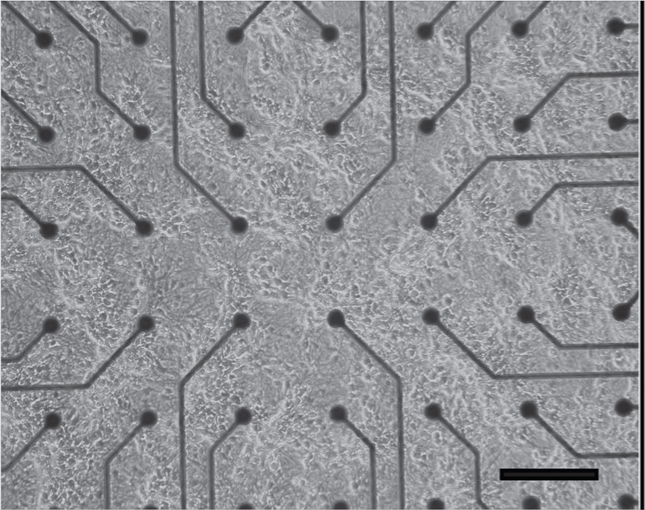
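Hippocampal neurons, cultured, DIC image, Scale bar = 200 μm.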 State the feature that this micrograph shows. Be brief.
multi-electrode arrays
